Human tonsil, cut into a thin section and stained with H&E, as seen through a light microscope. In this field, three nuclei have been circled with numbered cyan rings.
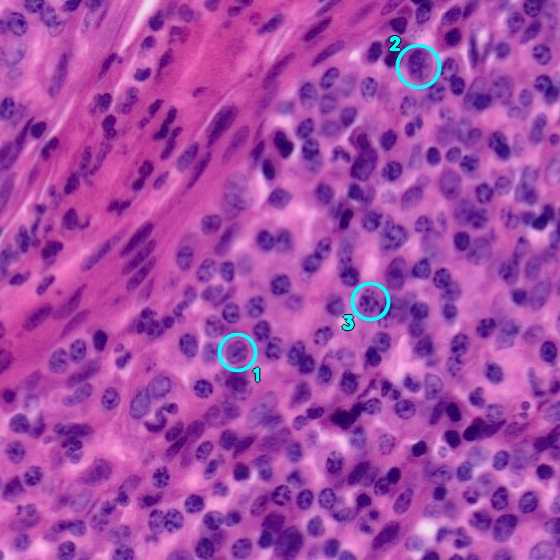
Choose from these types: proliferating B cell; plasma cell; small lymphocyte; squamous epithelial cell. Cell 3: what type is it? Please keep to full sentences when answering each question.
The cell assigned the number 3 is a plasma cell.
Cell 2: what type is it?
The nucleus with number 2 is that of a squamous epithelial cell.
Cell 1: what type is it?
Regarding cell 1, this one is a plasma cell.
